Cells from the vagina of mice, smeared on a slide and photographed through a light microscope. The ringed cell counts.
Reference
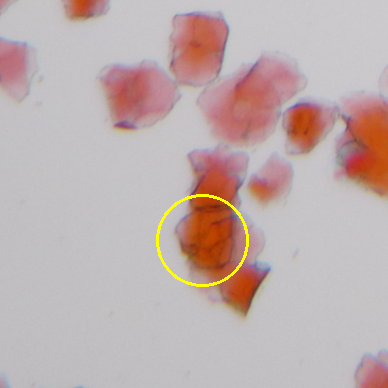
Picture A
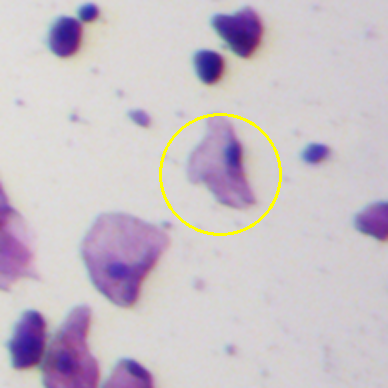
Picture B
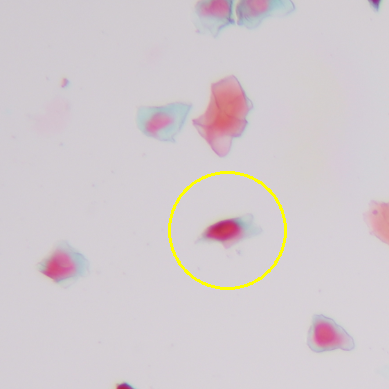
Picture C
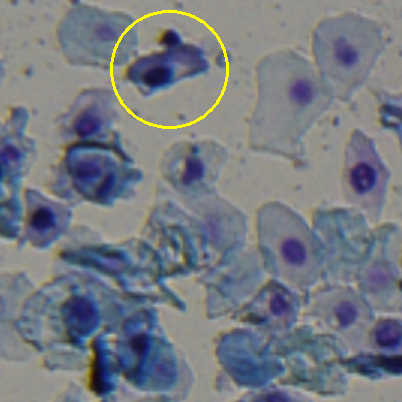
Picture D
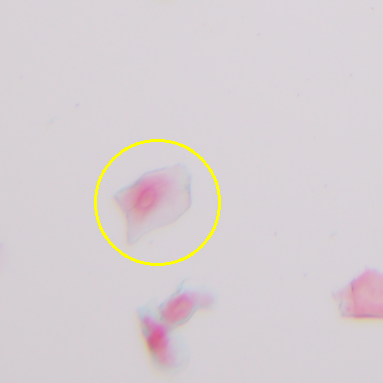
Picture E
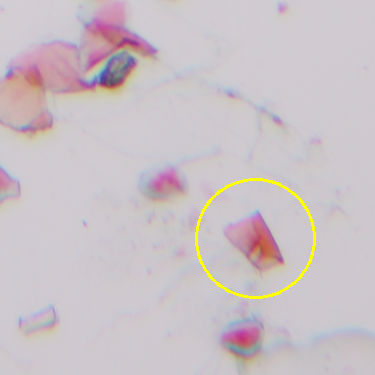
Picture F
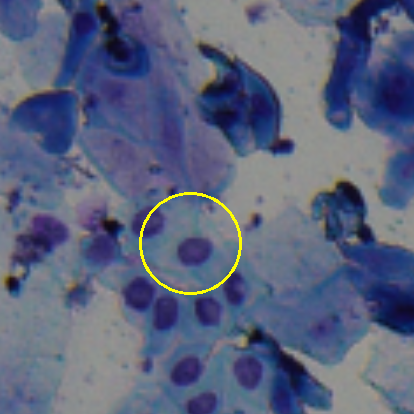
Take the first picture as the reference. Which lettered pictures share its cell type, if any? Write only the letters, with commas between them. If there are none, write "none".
E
